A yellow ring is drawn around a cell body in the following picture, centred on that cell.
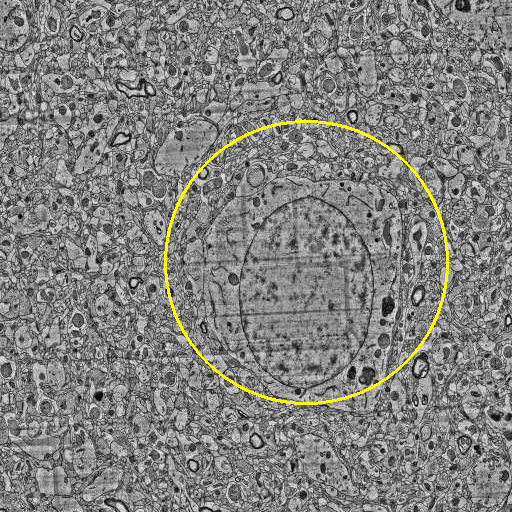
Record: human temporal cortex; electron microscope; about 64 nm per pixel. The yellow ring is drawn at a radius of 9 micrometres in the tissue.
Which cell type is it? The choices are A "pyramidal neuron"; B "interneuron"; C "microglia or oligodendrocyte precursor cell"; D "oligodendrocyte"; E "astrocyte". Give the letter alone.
A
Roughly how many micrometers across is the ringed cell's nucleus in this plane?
About 12 by 9 micrometers for the nucleus, in this plane.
